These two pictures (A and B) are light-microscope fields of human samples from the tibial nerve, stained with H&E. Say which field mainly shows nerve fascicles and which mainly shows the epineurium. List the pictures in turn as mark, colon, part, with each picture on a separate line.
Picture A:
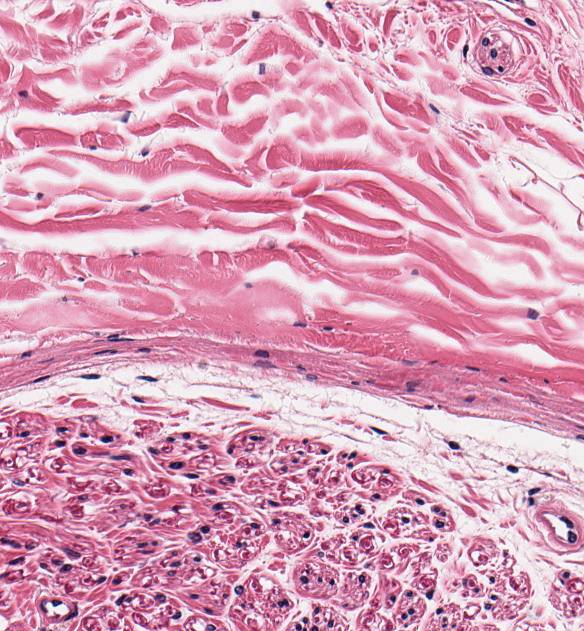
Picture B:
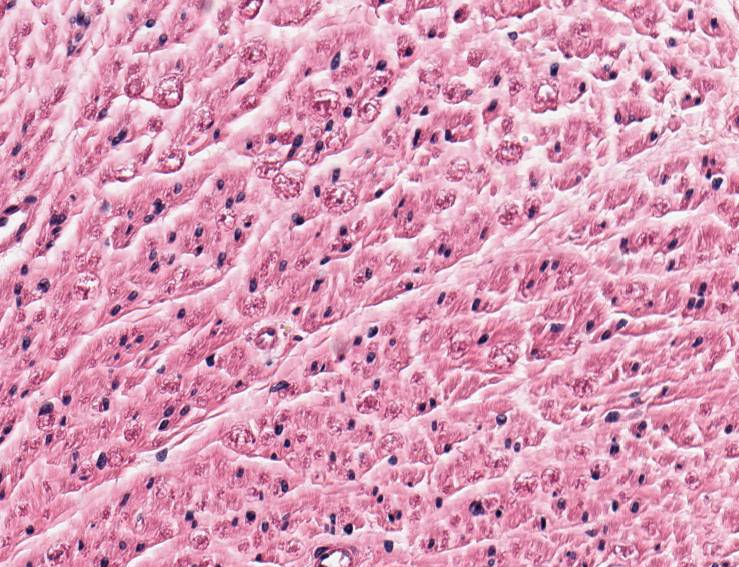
A: epineurium
B: nerve fascicles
